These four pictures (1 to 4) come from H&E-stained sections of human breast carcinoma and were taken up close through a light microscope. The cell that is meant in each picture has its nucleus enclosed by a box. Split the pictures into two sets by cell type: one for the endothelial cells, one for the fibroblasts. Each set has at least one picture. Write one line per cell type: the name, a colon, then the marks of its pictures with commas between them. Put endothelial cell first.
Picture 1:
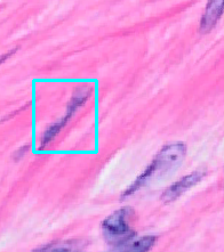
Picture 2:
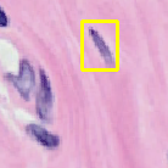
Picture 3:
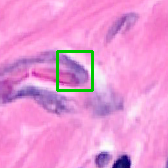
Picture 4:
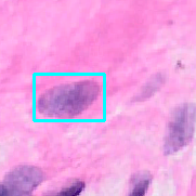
endothelial cell: 3
fibroblast: 1, 2, 4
